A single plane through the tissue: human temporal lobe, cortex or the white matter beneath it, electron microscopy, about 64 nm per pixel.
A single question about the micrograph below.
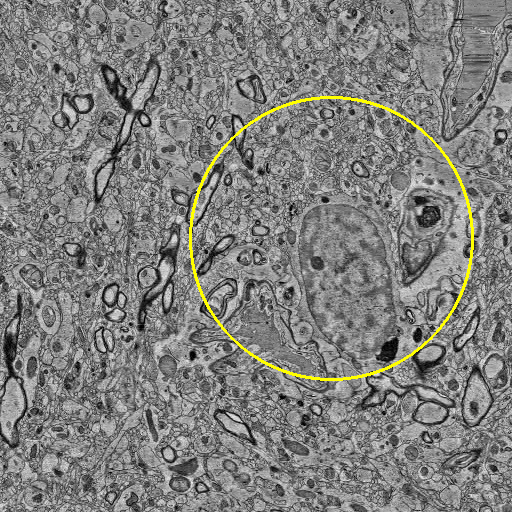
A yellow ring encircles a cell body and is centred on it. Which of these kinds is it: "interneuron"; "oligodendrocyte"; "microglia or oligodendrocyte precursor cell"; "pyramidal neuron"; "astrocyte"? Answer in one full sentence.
The cell body at the centre of the yellow ring belongs to an oligodendrocyte.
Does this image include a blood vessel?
Yes, one shows.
